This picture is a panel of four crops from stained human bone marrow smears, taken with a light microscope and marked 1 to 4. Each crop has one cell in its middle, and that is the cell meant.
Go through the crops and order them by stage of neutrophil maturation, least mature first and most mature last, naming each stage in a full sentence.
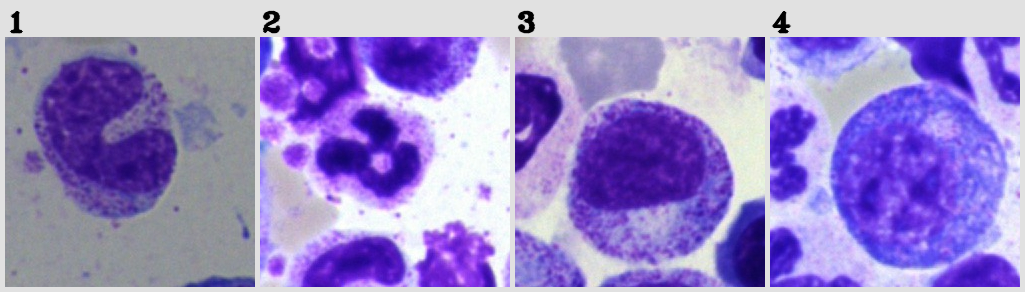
The ordering by maturity, least to greatest, is crop 4 (a promyelocyte), crop 3 (a myelocyte), crop 1 (a band neutrophil) and crop 2 (a segmented neutrophil).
